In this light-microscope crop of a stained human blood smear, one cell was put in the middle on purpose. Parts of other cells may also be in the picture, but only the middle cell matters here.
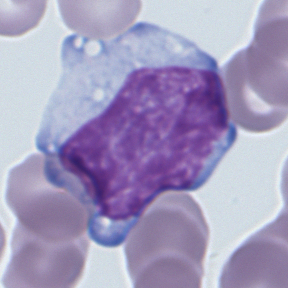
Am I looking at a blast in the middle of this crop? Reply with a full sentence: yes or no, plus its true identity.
Yes, that middle cell in the crop is a blast.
